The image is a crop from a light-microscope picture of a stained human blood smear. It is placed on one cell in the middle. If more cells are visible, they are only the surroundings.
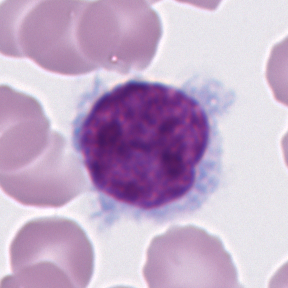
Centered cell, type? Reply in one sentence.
The cell under consideration, at the middle of the crop, is a hairy cell.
